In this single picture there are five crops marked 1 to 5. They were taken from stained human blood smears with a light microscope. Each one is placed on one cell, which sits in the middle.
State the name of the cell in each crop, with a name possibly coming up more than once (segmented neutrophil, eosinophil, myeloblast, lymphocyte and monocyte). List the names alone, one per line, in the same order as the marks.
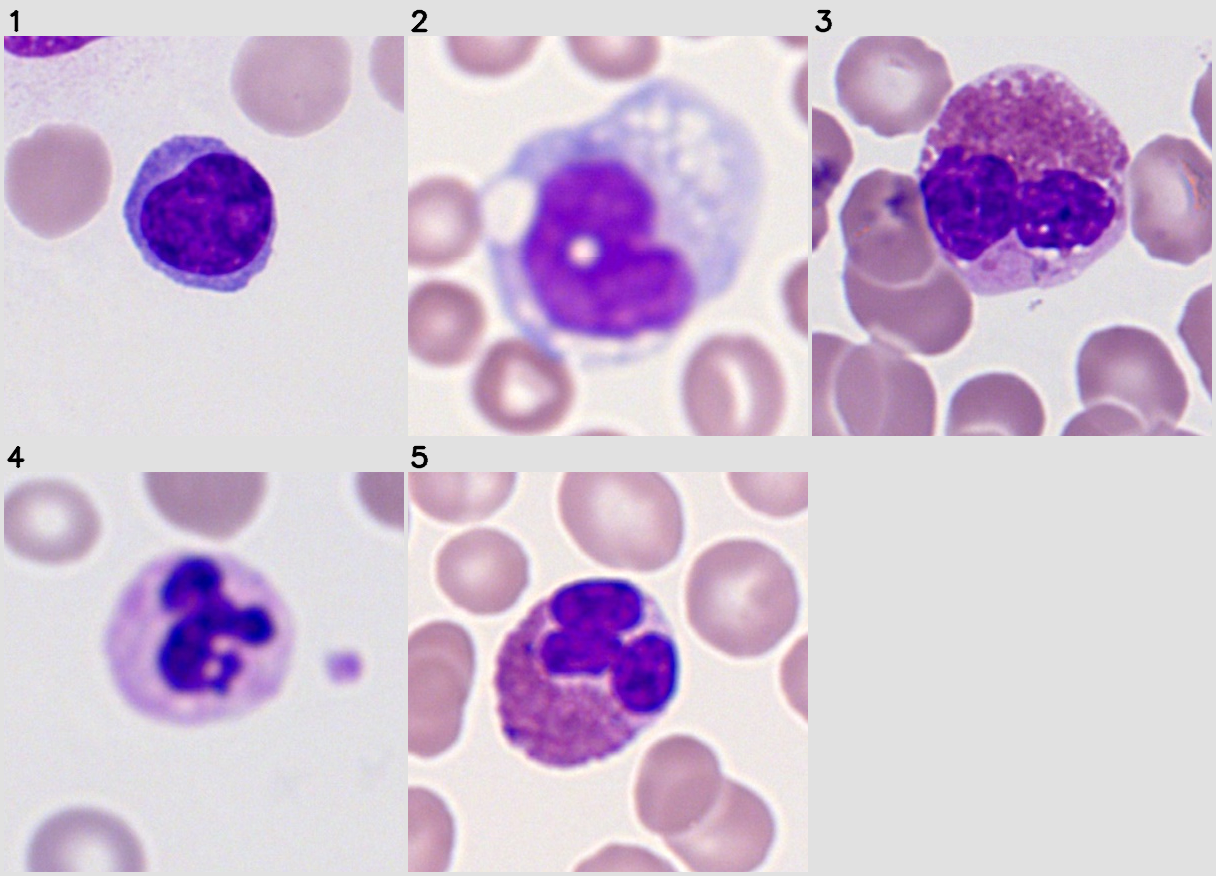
lymphocyte
monocyte
eosinophil
segmented neutrophil
eosinophil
